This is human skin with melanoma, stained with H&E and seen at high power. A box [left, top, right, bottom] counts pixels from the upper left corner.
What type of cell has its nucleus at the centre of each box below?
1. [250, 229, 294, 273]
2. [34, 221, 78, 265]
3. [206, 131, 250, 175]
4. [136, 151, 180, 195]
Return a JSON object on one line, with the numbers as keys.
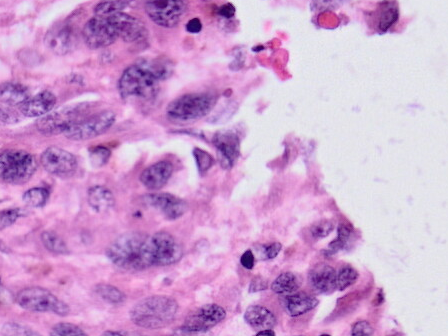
{"1": "macrophage or monocyte", "2": "melanoma cell", "3": "melanoma cell", "4": "melanoma cell"}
